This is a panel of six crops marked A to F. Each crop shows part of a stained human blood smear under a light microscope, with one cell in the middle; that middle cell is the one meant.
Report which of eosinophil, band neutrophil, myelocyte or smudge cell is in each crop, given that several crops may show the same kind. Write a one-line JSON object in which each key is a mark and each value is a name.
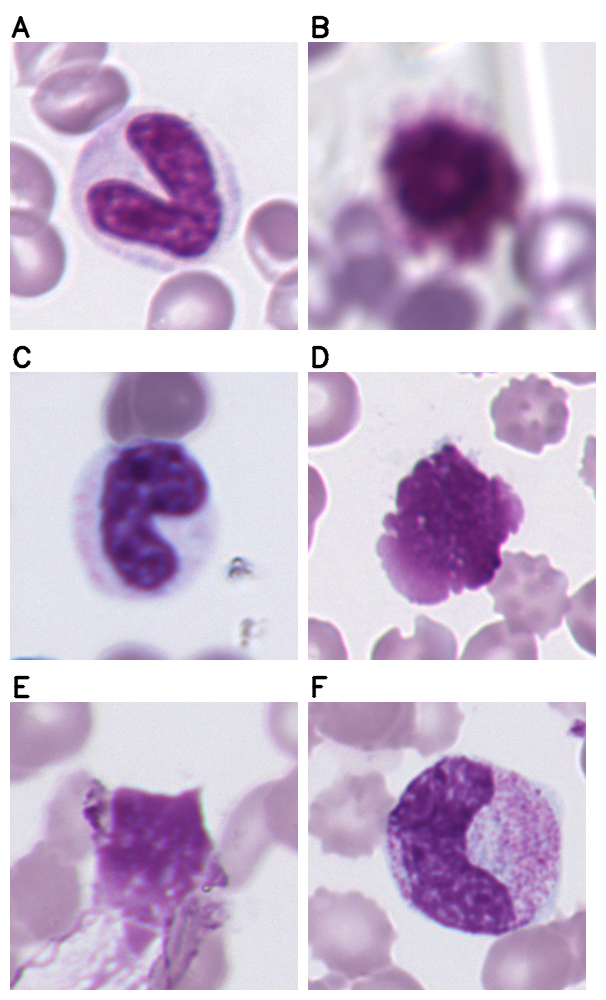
{"A": "band neutrophil", "B": "smudge cell", "C": "band neutrophil", "D": "smudge cell", "E": "smudge cell", "F": "band neutrophil"}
